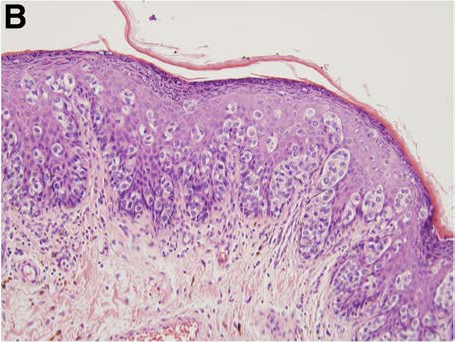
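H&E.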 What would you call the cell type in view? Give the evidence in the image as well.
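Large cells with abundant pale cytoplasm lie within the epidermis. These cells form clusters and nests among the smaller, darker keratinocytes. Their nuclei are large and rounded.
Conclusion: Paget cells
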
